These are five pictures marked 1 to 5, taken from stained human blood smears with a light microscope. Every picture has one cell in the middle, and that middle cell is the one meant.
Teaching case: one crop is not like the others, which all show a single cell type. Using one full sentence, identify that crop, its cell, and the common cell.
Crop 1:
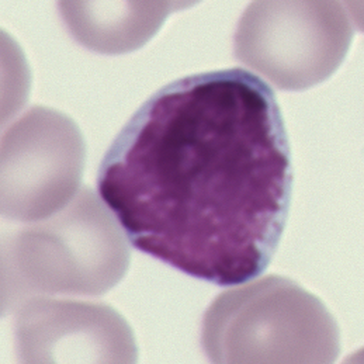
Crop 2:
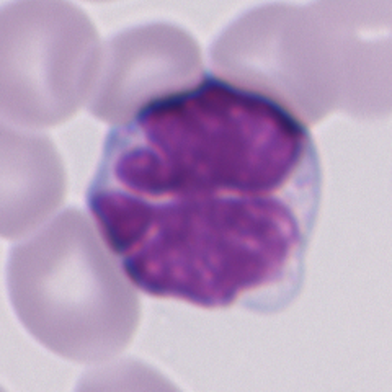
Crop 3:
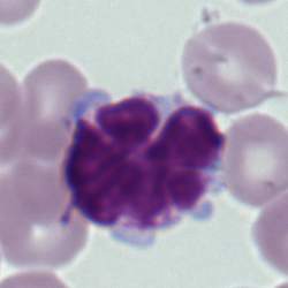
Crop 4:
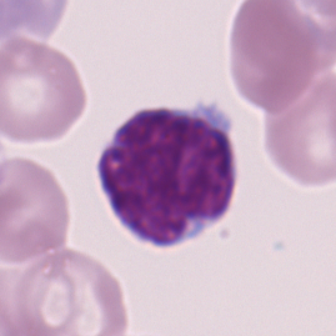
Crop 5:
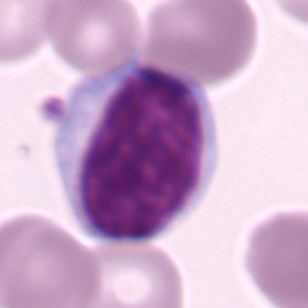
The different one is crop 4, which is a typical lymphocyte; the rest all show large granular lymphocytes.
